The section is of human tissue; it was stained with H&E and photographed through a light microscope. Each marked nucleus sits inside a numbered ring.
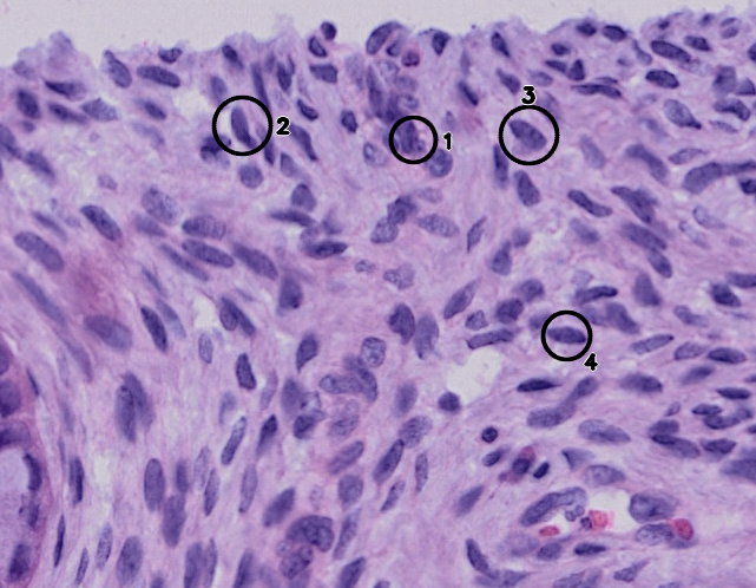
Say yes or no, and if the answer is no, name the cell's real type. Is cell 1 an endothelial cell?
Yes.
